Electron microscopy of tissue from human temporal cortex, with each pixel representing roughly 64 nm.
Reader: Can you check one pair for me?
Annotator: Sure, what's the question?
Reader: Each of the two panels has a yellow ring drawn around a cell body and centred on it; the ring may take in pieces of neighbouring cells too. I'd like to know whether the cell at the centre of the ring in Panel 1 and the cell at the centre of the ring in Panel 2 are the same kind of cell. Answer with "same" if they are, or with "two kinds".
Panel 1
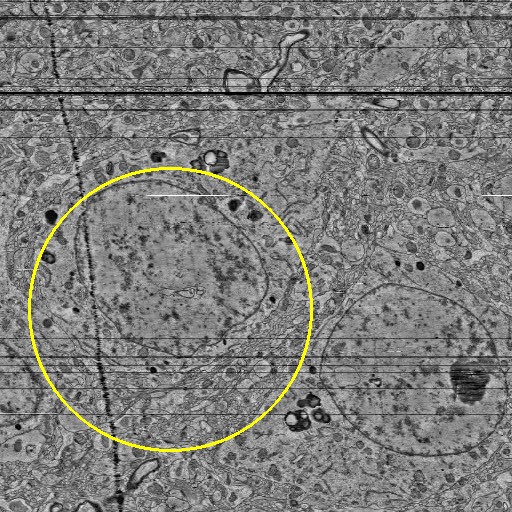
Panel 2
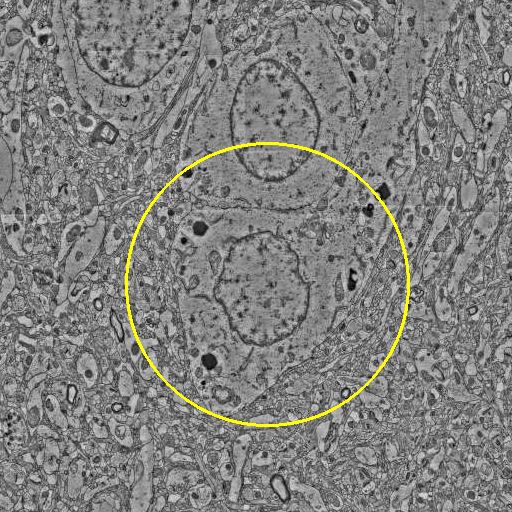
same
